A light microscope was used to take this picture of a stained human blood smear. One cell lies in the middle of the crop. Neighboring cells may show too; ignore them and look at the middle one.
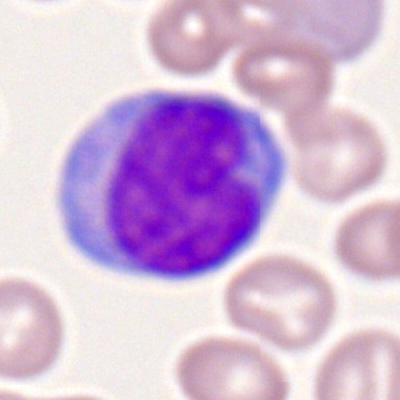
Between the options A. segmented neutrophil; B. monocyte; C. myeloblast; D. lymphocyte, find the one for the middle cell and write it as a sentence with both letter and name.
Option B is correct in naming the middle cell a monocyte.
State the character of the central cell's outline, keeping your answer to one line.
In short, the margin is smooth with no projections at all.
